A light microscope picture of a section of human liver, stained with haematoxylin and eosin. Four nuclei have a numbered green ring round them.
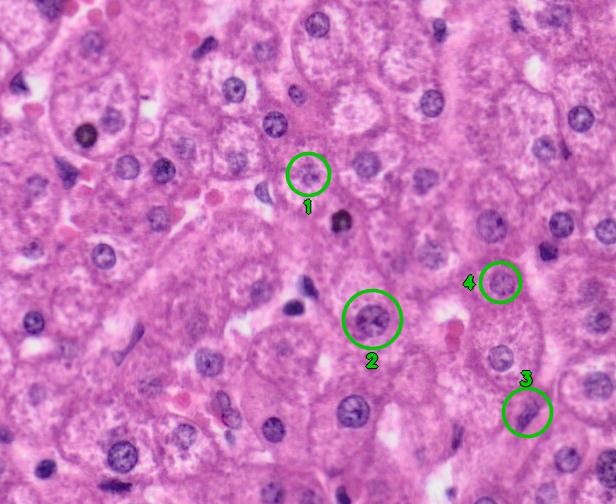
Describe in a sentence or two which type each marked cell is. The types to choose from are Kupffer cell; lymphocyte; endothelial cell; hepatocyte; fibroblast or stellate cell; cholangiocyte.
Cells 1, 2 and 4 are hepatocytes. Cell 3 is a Kupffer cell.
